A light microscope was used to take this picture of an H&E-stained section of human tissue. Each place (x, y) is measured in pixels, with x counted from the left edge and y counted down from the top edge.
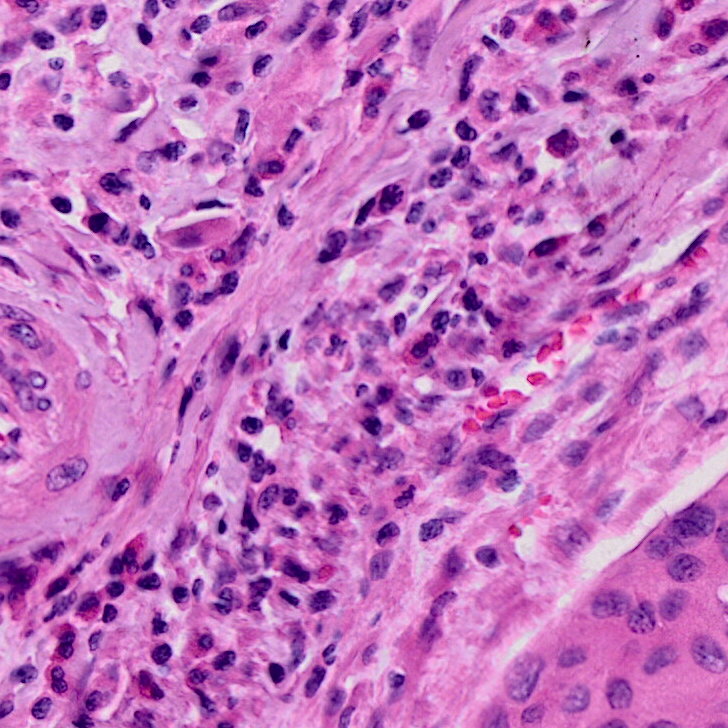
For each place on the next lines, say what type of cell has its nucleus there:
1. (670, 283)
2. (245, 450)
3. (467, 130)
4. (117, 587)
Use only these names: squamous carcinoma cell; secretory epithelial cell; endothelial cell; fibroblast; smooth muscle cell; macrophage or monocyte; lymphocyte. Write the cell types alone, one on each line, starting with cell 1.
endothelial cell
lymphocyte
lymphocyte
lymphocyte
